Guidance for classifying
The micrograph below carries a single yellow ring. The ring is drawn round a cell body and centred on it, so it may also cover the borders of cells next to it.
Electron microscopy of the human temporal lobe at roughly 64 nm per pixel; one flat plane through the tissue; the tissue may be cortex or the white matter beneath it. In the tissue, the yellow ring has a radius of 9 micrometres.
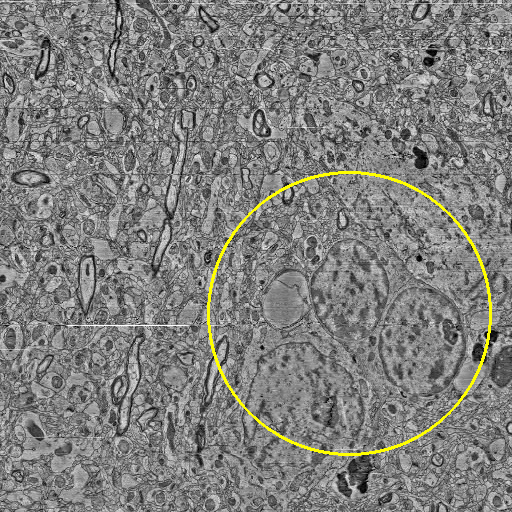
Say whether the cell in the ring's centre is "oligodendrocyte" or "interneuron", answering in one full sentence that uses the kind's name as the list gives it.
Within the yellow ring, an oligodendrocyte is the cell whose body sits at the centre.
